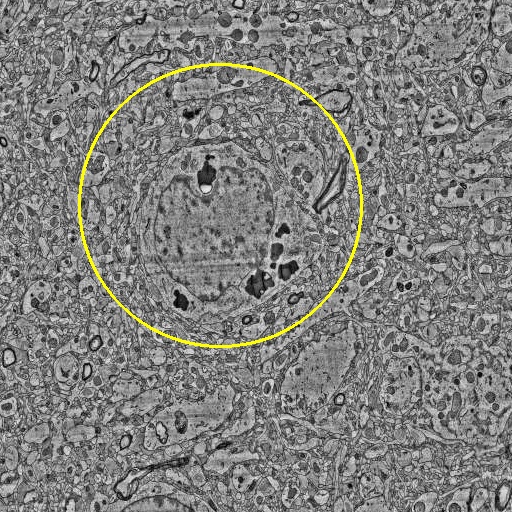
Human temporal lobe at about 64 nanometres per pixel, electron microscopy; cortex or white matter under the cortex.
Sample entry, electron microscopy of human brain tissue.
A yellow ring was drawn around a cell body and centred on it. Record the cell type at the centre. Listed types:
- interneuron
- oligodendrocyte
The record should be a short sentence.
The cell at the ring's centre is an interneuron.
